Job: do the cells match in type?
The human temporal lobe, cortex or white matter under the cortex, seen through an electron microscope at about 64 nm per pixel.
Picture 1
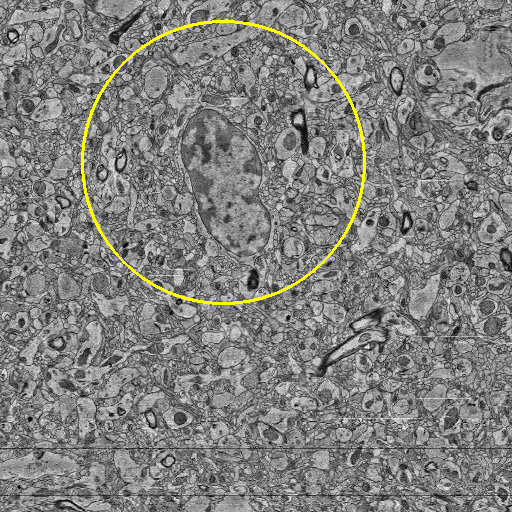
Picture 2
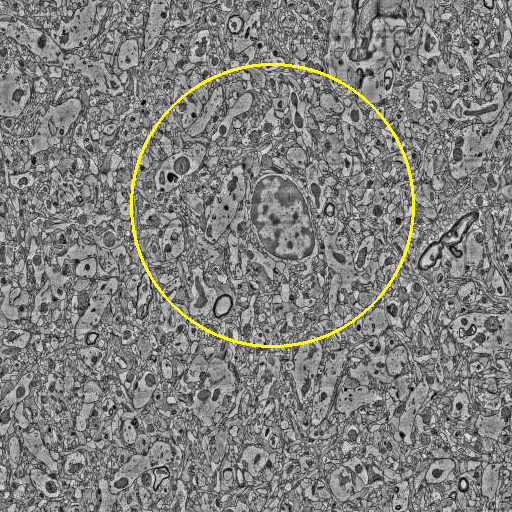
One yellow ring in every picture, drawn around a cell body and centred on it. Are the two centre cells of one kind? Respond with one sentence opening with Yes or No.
Yes, the ringed cells in the two pictures are of one and the same kind.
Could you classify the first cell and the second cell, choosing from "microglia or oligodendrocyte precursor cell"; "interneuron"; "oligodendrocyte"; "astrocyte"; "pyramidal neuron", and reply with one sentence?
In each of the two pictures, the ringed cell is a microglial cell or oligodendrocyte precursor cell.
